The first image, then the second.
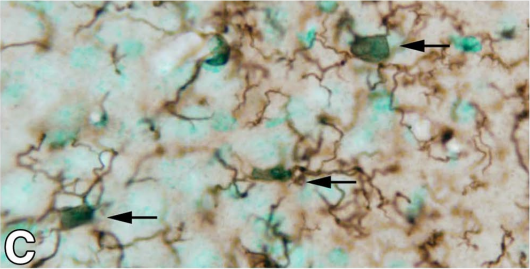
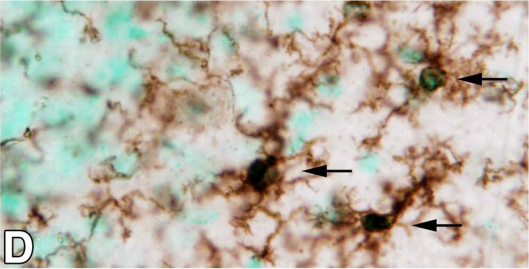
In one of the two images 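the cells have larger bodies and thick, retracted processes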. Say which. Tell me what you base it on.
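Second image: cell bodies are dark and bulky, processes are short, thick and bushy. First image: cell bodies are small and slender, processes are long, thin and tortuous.
Hence: the second image.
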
